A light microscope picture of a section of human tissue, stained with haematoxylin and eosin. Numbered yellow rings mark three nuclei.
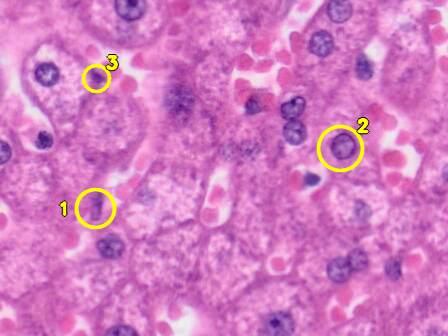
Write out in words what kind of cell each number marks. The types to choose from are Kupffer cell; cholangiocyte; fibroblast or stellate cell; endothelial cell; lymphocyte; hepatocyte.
Cell 1 is a Kupffer cell. Cell 2 is a hepatocyte. Cell 3 is an endothelial cell.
